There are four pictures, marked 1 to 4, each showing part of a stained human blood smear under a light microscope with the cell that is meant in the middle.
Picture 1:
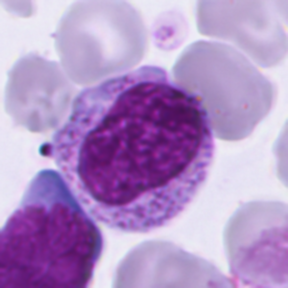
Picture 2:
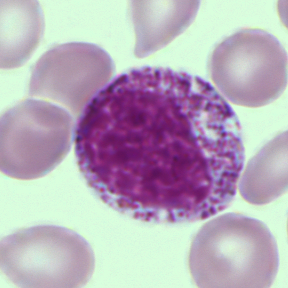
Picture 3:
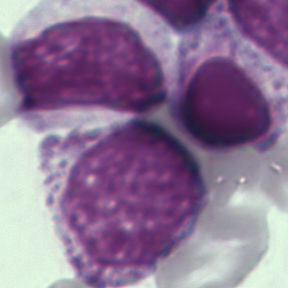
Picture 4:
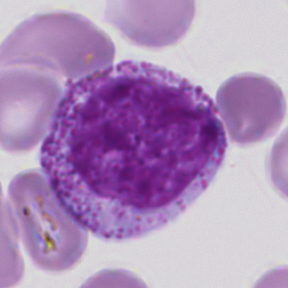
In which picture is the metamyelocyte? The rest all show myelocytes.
1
